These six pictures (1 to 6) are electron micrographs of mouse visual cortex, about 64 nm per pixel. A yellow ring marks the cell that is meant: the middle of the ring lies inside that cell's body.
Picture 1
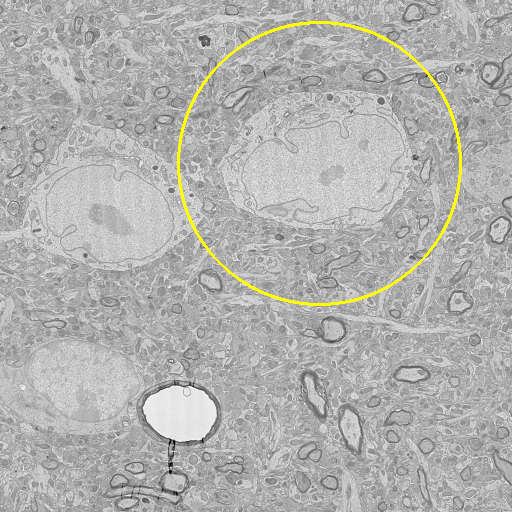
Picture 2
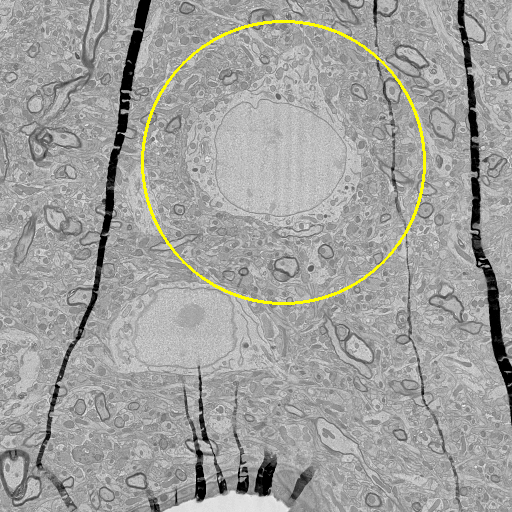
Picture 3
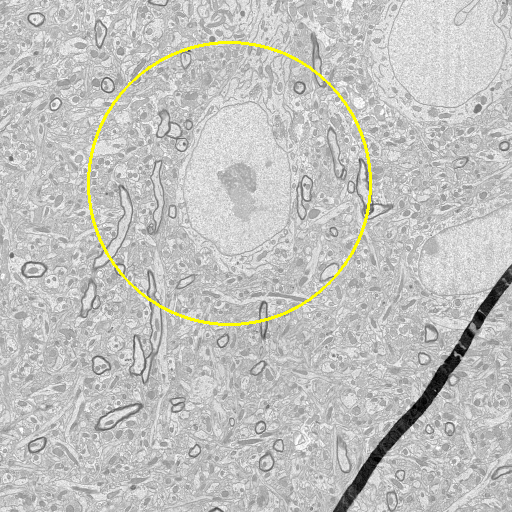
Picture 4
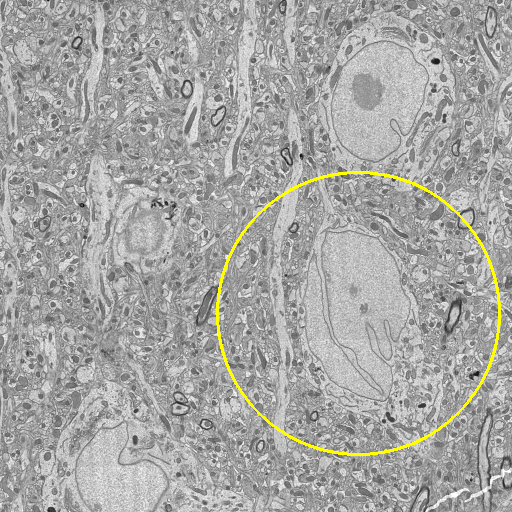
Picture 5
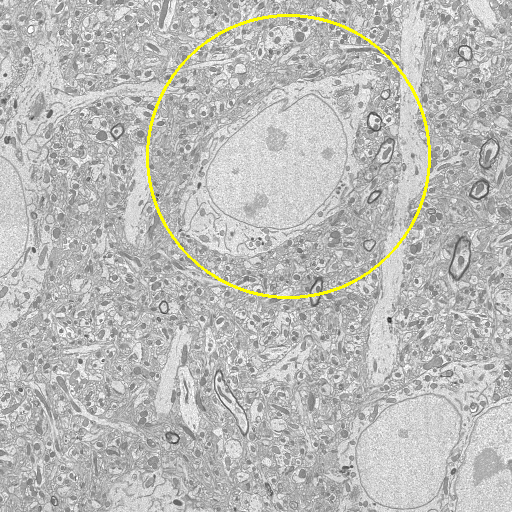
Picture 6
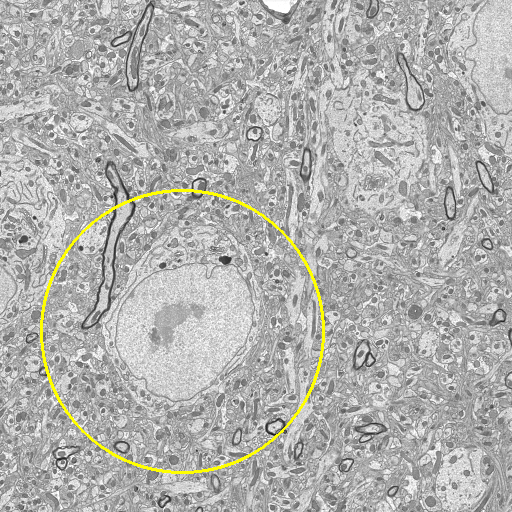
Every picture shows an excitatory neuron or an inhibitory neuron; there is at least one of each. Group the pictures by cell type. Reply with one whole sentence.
Pictures 2 and 5 show excitatory neurons, and pictures 1, 3, 4 and 6 show inhibitory neurons.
